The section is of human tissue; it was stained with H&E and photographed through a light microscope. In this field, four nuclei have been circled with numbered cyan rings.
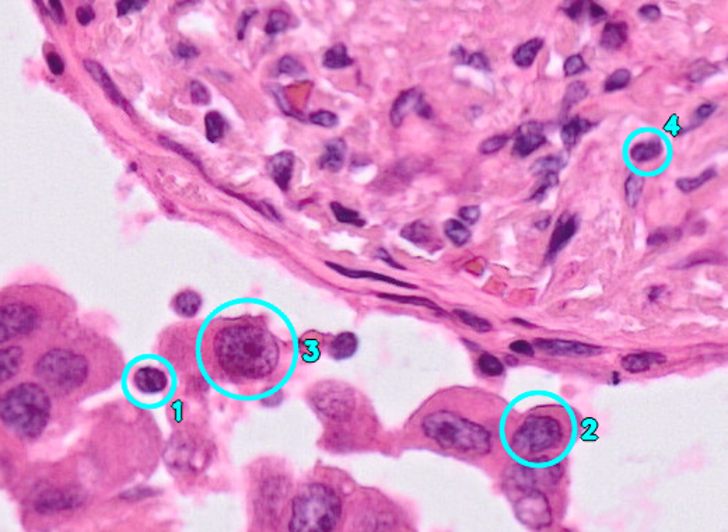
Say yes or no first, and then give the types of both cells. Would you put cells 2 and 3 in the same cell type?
Yes, cells 2 and 3 fall into the same group, both being carcinoma cells.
